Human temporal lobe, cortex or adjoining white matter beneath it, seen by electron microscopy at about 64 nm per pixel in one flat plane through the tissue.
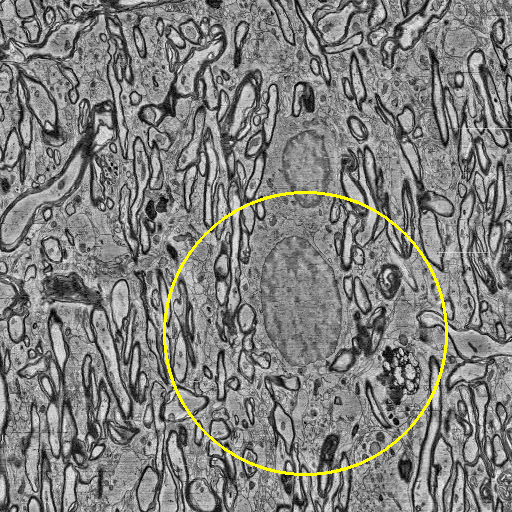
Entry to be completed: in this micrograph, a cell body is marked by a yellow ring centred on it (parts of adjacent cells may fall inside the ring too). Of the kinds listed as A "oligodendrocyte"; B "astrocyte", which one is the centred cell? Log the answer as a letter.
A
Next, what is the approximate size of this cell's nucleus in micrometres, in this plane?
The ringed cell's nucleus is roughly 8 by 5 micrometres and clearly longer than it is wide in this plane.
